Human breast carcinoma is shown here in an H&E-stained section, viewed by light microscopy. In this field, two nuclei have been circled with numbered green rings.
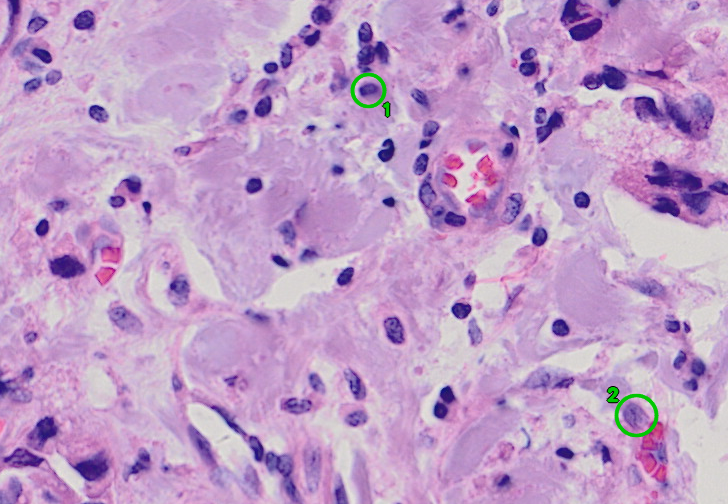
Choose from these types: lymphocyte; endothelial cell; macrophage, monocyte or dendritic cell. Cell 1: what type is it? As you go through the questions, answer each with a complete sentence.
The marked nucleus 1 is that of a lymphocyte.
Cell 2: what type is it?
The nucleus labeled 2 belongs to an endothelial cell.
